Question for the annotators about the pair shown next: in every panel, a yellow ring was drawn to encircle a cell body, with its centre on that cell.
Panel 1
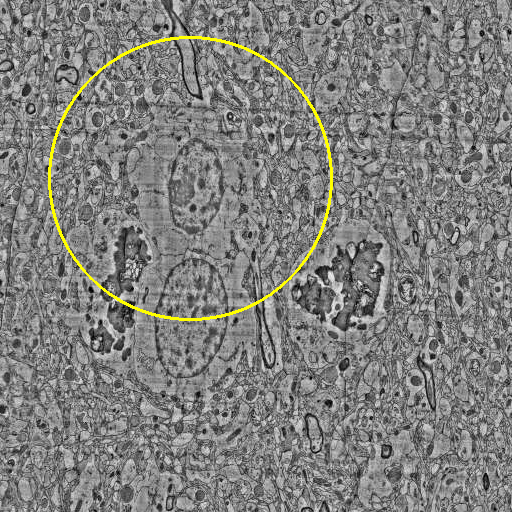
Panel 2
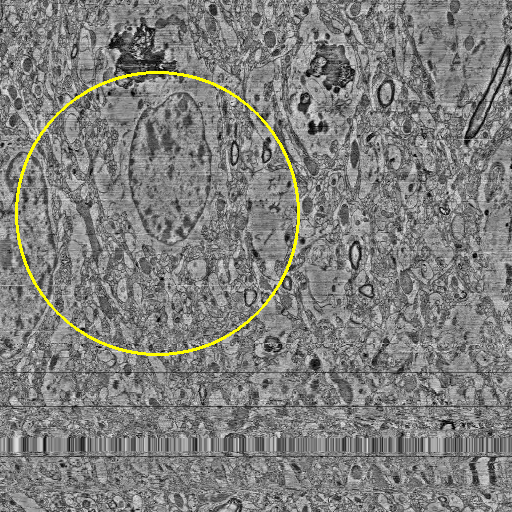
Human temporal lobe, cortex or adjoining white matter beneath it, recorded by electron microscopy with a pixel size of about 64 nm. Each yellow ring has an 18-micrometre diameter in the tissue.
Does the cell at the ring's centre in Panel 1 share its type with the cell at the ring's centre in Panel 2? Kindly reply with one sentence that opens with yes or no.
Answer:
Yes, in Panels 1 and 2 the cells at the ring centres belong to a single type.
